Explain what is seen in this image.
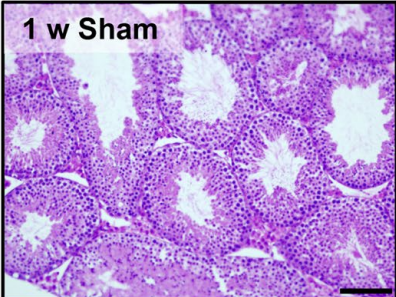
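This section of testis shows seminiferous tubules cut mostly in cross section, lying closely packed with only narrow spaces between them. Each tubule is lined by a thick, many-layered epithelium of cells whose nuclei stain dark purple against pink cytoplasm. The tubule centres are open lumens containing pale, wispy pink fibrillar material. Between neighbouring tubules, small pink-staining interstitial areas and a few clear gaps can be seen.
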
